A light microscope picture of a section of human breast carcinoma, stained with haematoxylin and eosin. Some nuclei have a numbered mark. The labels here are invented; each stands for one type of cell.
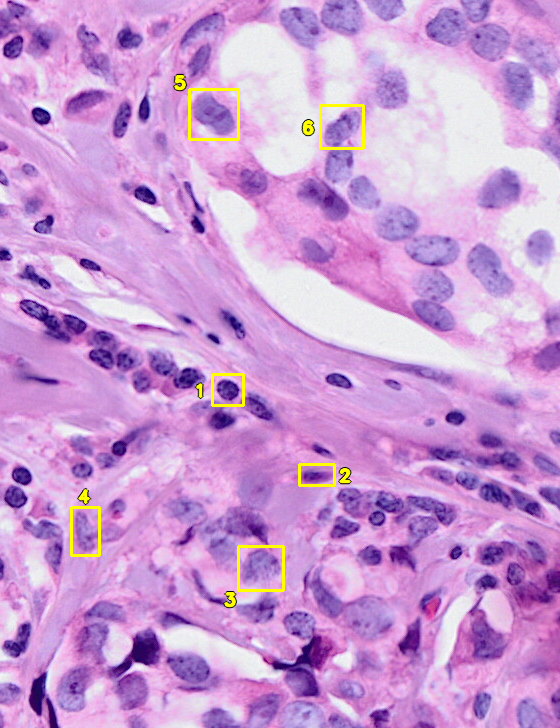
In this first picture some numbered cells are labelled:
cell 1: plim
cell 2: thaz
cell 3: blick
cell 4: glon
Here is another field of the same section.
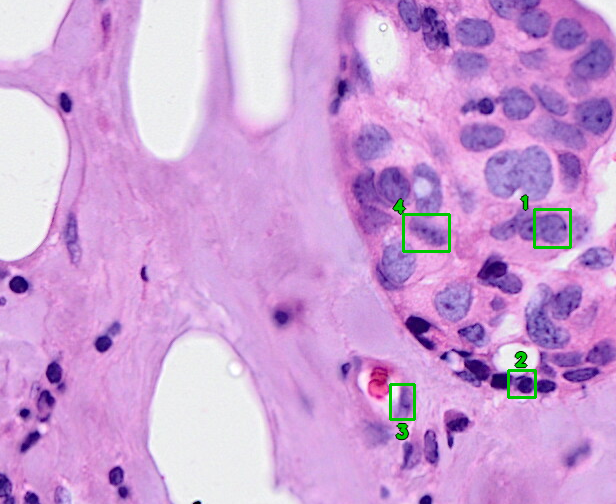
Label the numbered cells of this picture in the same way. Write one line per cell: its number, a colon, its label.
1: blick
2: plim
3: glon
4: blick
